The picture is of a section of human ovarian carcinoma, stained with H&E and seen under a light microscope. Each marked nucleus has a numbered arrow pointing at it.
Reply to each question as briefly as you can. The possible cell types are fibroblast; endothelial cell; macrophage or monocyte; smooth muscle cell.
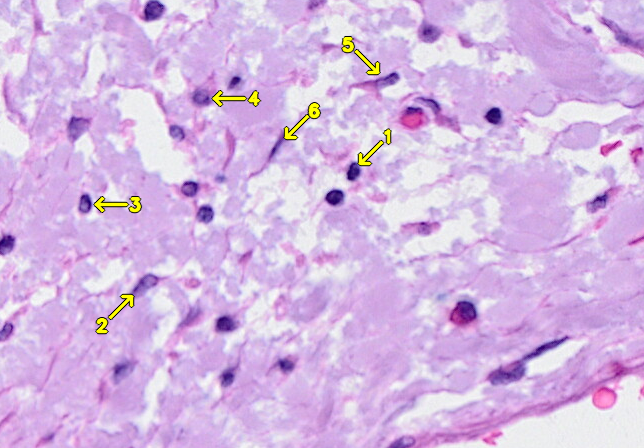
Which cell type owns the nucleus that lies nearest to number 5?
endothelial cell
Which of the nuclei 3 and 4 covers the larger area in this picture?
4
